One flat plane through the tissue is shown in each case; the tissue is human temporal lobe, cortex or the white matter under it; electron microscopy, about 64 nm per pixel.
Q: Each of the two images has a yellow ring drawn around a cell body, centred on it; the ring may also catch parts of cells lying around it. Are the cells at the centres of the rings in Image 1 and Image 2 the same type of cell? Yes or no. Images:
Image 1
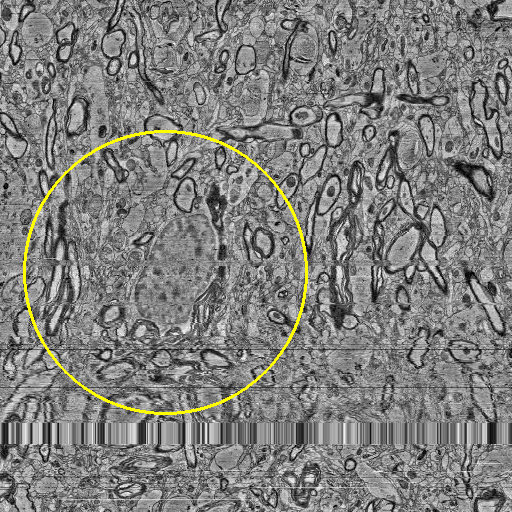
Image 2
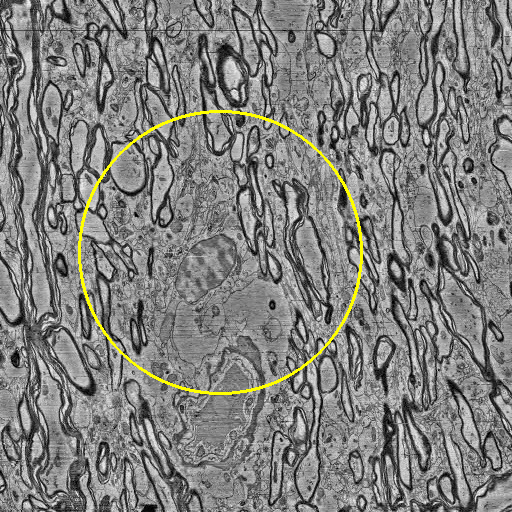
no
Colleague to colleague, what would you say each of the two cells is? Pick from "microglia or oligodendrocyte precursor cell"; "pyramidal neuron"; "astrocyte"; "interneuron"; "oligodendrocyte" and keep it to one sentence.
The cell in the first picture is an oligodendrocyte; the second picture's cell is a microglial cell or oligodendrocyte precursor cell.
